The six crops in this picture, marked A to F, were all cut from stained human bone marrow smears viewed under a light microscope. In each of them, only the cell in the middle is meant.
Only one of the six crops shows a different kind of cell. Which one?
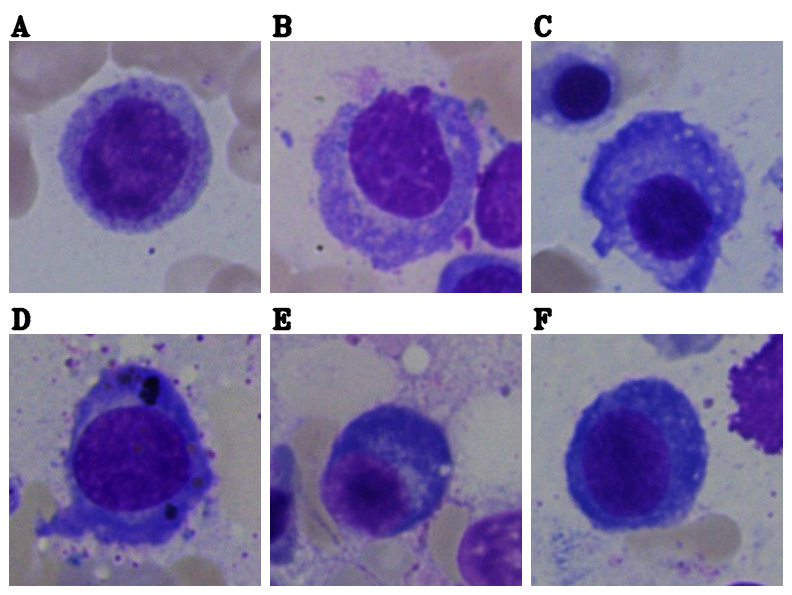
A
